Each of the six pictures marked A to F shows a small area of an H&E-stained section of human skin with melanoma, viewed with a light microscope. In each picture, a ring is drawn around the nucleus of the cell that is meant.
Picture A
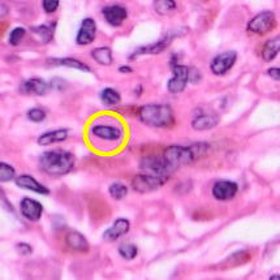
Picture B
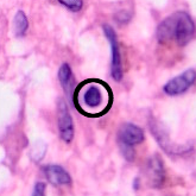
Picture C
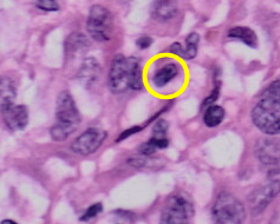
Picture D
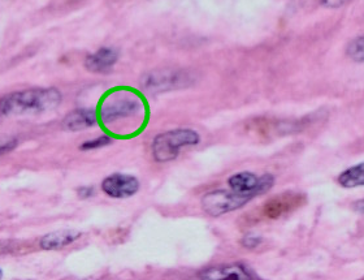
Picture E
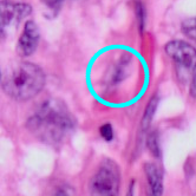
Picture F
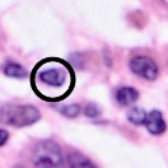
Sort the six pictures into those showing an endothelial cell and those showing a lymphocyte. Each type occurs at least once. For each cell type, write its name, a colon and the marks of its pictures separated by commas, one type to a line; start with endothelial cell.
endothelial cell: D, E
lymphocyte: A, B, C, F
